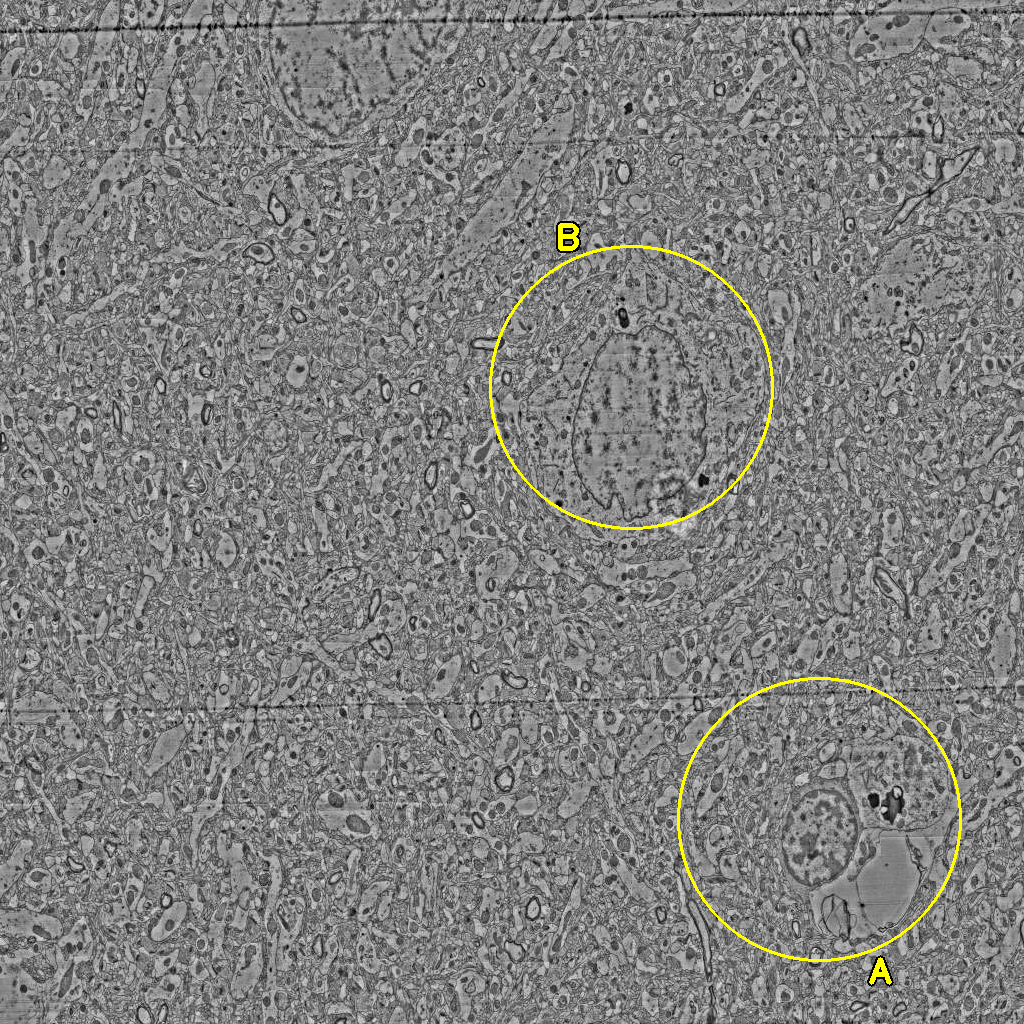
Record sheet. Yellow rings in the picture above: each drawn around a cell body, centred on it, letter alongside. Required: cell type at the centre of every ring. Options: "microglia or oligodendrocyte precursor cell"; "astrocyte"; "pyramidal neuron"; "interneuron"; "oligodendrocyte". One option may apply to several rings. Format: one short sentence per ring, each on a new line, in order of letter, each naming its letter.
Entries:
Ring A contains an oligodendrocyte at the centre.
Ring B contains a pyramidal neuron at the centre.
